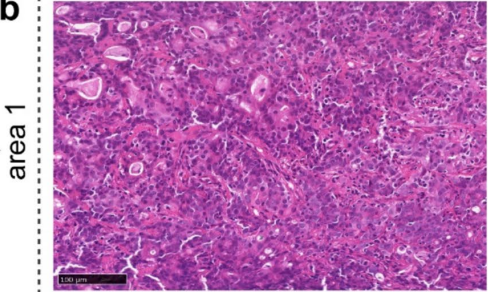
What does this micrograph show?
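This is a carcinoma made of densely packed atypical epithelial cells growing in solid sheets and nests. Only a few small round gland lumens are formed, some containing pink material. The tumor cells have crowded, dark purple nuclei and pink cytoplasm, with little intervening stroma. Small dark cells are scattered between the nests.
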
